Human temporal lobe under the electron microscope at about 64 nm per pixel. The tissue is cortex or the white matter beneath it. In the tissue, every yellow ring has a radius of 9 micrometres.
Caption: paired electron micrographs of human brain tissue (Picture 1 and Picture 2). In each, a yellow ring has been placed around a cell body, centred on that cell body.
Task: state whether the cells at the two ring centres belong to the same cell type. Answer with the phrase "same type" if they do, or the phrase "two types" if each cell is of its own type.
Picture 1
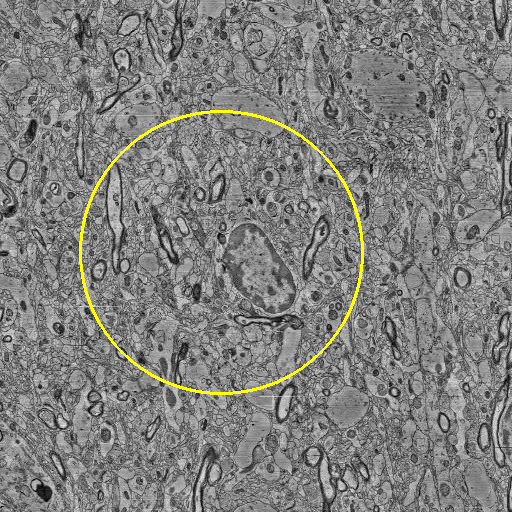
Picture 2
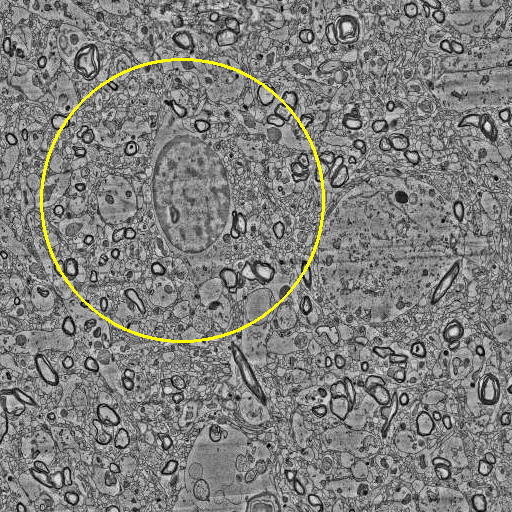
two types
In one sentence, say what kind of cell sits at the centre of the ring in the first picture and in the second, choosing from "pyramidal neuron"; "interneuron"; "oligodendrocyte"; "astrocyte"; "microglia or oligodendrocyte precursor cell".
The first picture's ringed cell is a microglial cell or oligodendrocyte precursor cell, while the second picture's is an oligodendrocyte.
